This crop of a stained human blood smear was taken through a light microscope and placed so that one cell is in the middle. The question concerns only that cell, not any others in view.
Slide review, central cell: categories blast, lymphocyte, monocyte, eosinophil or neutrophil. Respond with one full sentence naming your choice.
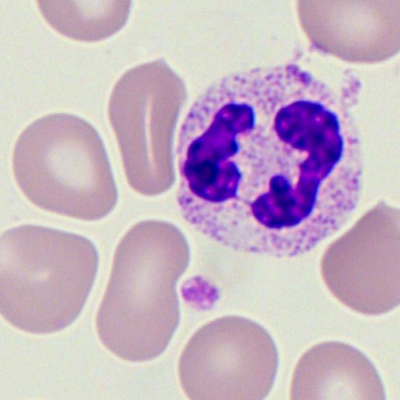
Looking at the middle of the crop, the cell there is a neutrophil.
